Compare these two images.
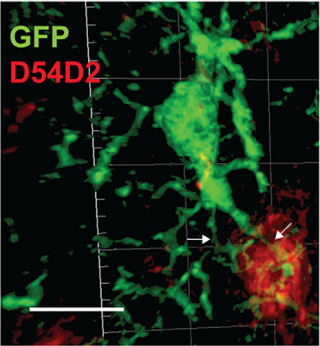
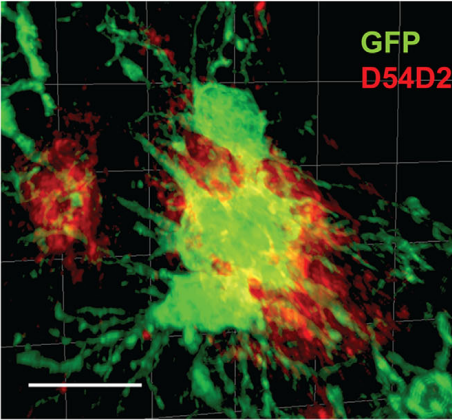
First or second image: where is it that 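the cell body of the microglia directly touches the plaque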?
The second image.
